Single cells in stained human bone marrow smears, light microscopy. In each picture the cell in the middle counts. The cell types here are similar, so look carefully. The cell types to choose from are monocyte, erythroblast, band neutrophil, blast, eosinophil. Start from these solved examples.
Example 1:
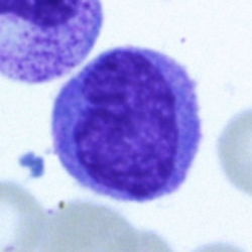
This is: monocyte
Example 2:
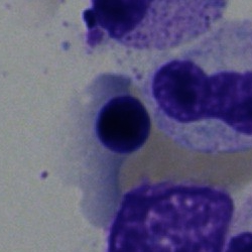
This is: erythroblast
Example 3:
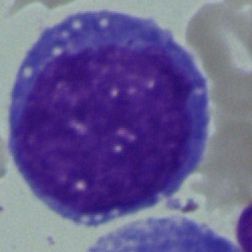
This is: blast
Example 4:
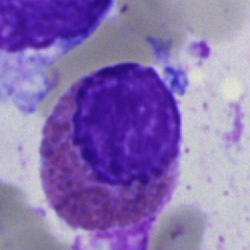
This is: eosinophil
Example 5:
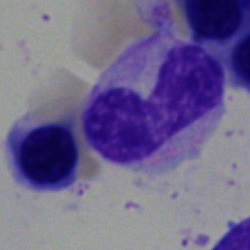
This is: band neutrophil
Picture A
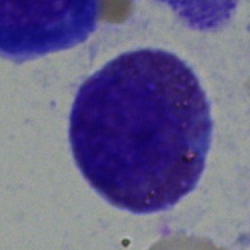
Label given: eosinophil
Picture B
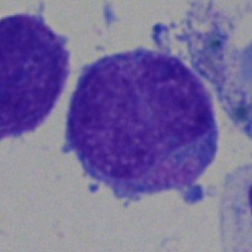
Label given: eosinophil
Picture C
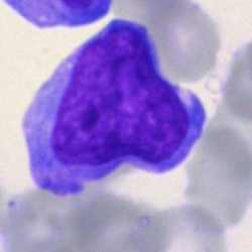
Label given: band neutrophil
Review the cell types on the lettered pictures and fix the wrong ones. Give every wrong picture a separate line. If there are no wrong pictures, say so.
B: not eosinophil but blast
C: not band neutrophil but blast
